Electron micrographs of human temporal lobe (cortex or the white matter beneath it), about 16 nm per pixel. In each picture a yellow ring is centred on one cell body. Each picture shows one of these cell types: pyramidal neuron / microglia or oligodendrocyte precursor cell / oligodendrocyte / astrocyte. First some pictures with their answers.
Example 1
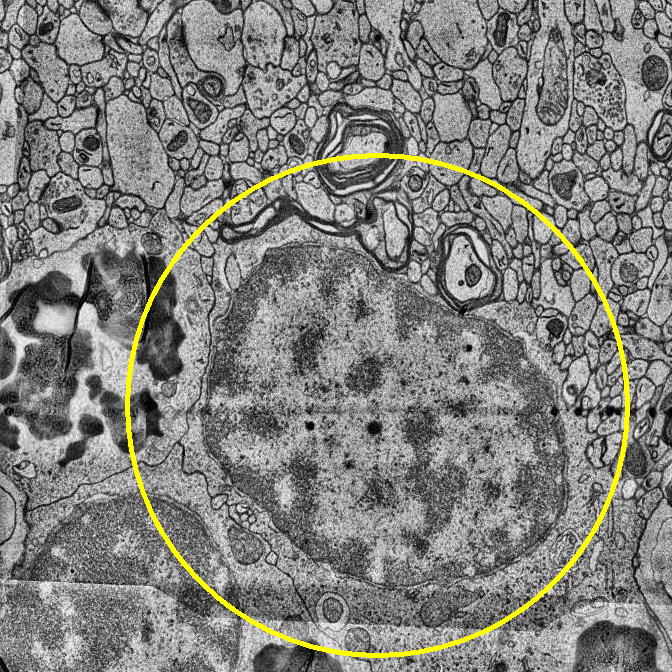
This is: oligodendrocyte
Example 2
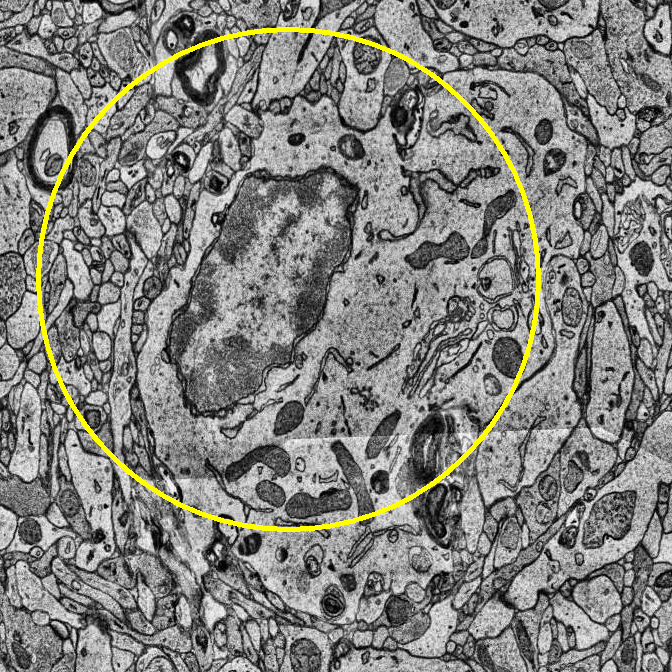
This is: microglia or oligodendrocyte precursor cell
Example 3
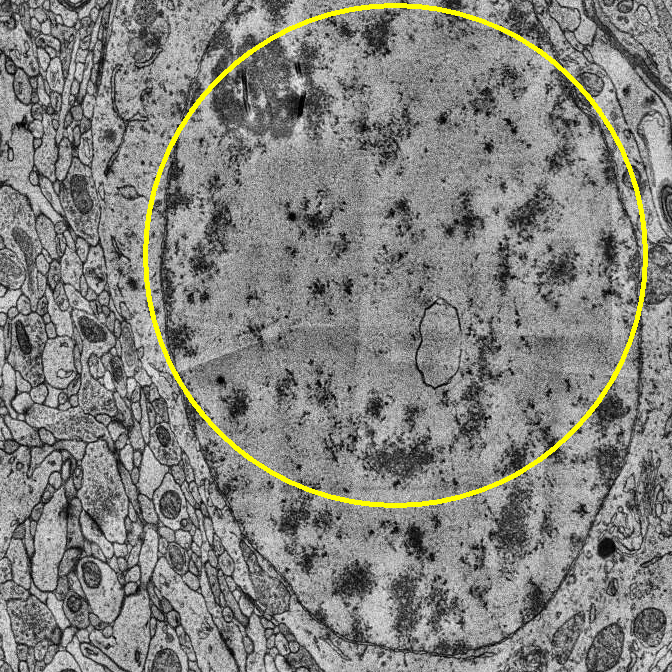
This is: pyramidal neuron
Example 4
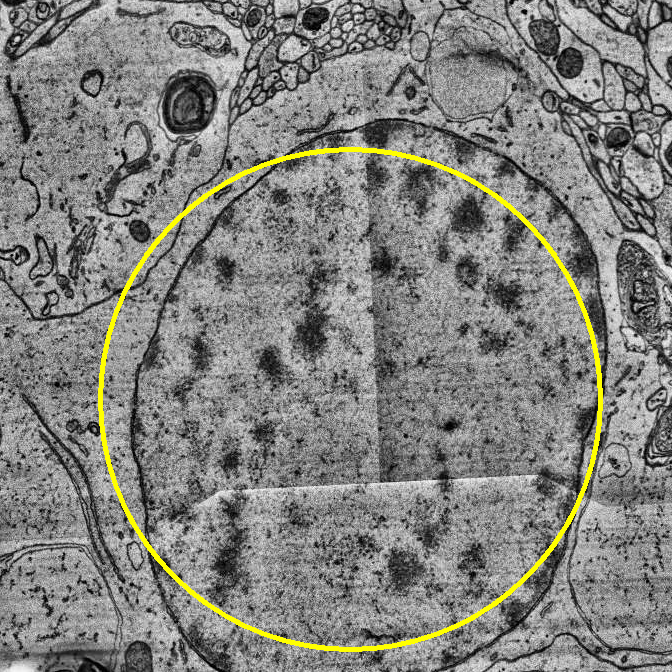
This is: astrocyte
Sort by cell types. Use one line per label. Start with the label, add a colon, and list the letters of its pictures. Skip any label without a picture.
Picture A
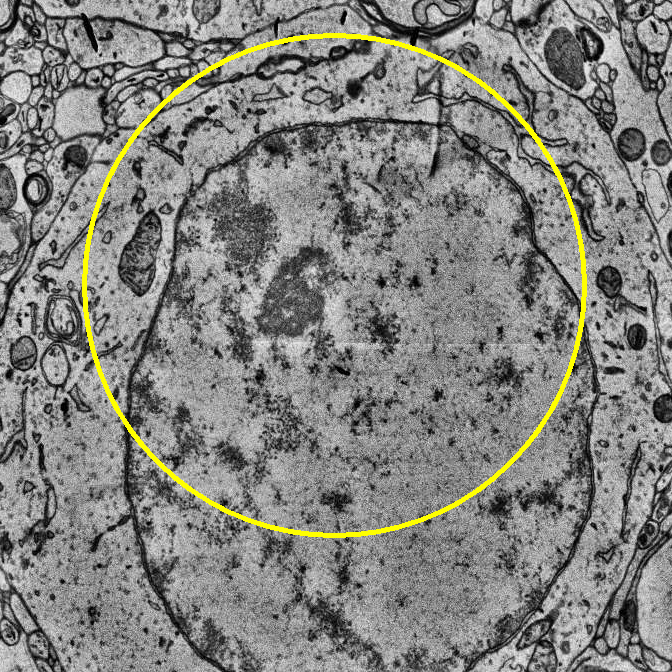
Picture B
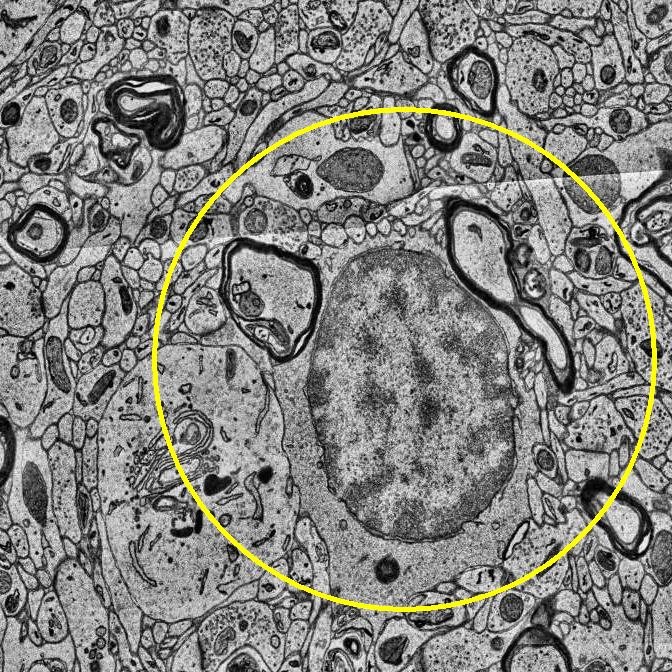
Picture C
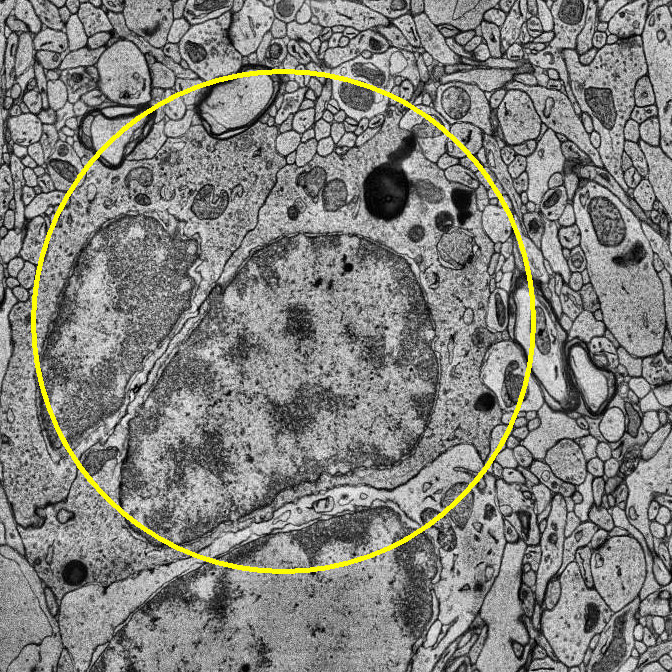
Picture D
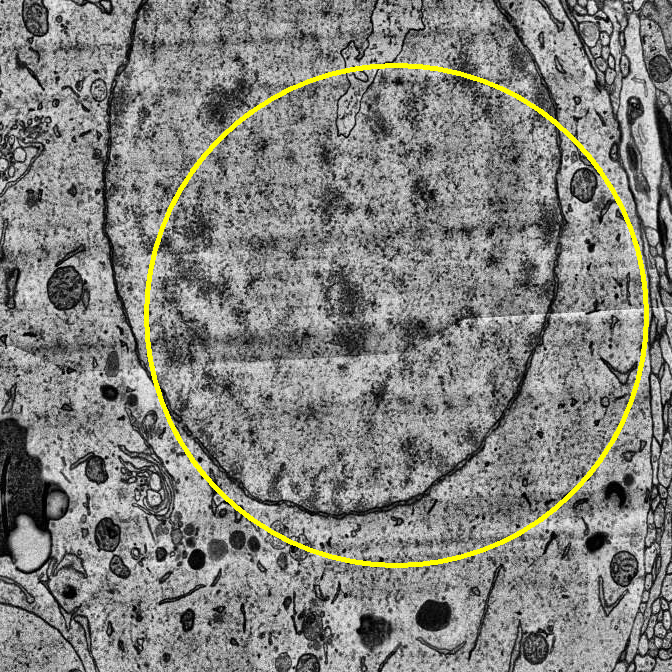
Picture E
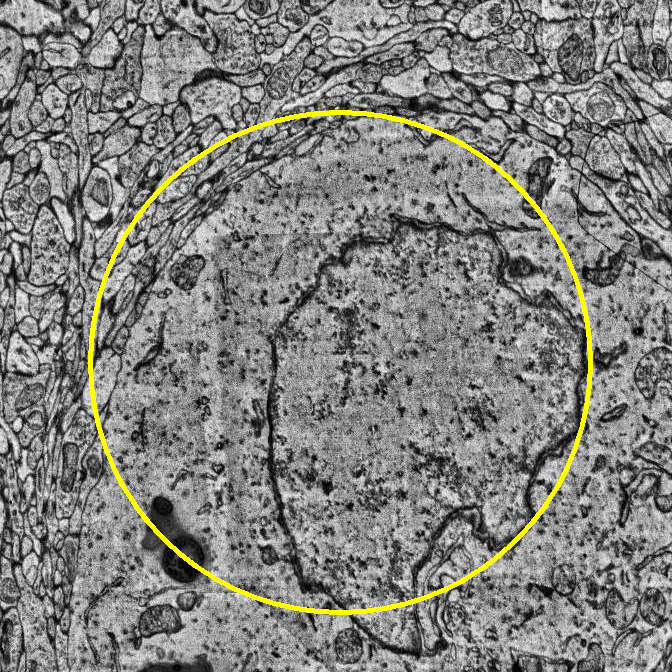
pyramidal neuron: A, D, E
oligodendrocyte: B, C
